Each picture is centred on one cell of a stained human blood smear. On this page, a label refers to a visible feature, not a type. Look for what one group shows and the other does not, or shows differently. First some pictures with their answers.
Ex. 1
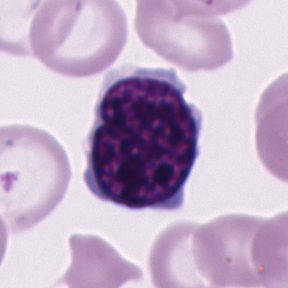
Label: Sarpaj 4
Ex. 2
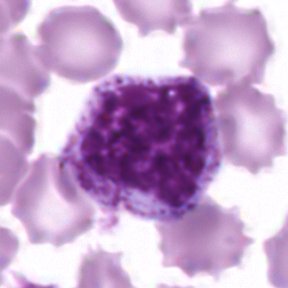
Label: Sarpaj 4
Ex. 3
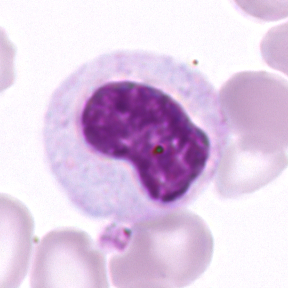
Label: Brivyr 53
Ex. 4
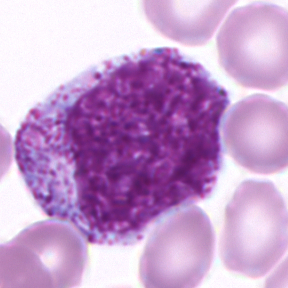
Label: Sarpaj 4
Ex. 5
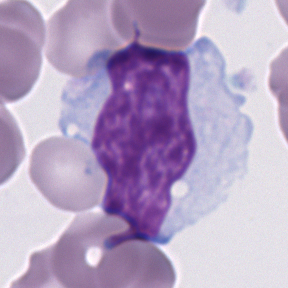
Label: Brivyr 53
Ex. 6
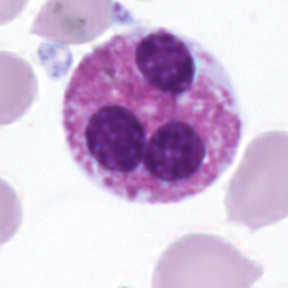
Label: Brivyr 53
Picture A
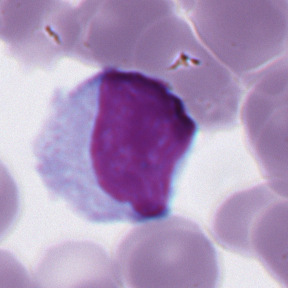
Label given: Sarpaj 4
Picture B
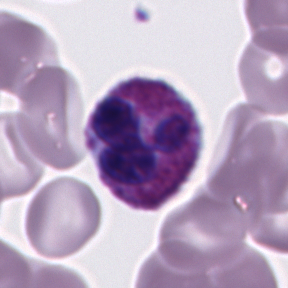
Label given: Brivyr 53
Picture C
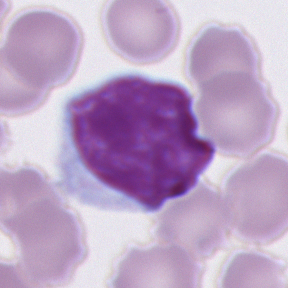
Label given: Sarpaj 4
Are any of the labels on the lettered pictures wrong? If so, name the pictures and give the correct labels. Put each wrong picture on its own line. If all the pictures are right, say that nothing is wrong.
Wrong: A (Sarpaj 4); correct: Brivyr 53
